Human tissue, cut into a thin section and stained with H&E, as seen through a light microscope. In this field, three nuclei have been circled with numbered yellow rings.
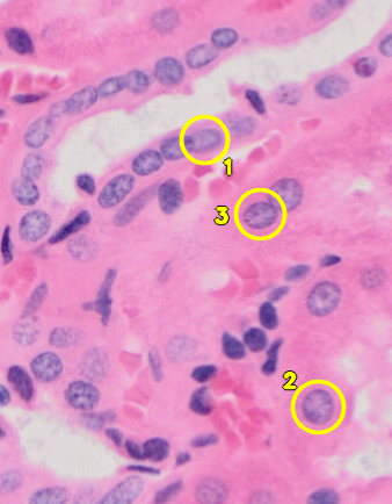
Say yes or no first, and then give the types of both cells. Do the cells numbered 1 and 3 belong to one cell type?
No, cell 1 is a collecting duct cell, and cell 3 is a proximal tubule cell.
